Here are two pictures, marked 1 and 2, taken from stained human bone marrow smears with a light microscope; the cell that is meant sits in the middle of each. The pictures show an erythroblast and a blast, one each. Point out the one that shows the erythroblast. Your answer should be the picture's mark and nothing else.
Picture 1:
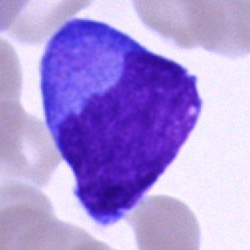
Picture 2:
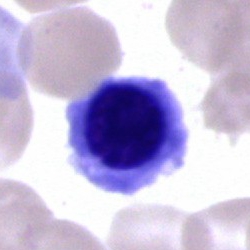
2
